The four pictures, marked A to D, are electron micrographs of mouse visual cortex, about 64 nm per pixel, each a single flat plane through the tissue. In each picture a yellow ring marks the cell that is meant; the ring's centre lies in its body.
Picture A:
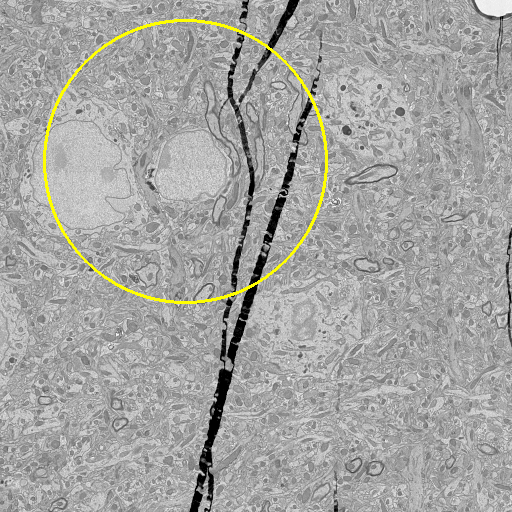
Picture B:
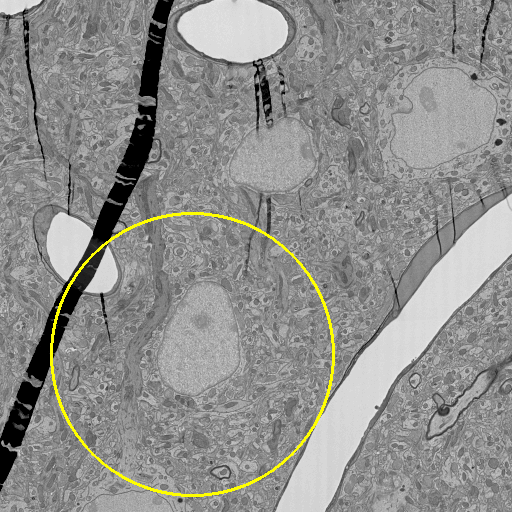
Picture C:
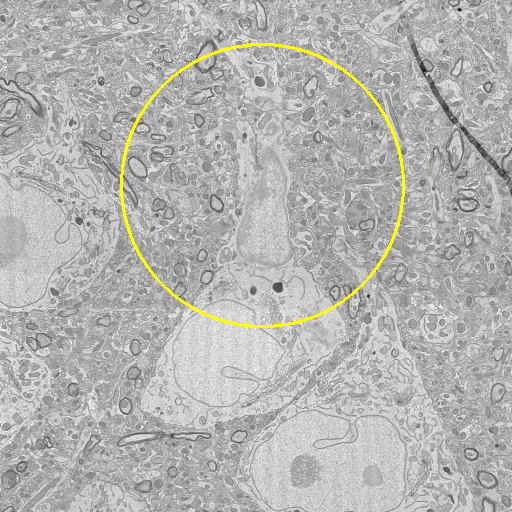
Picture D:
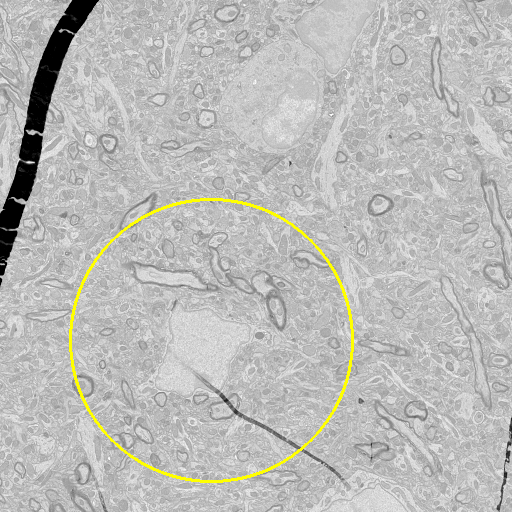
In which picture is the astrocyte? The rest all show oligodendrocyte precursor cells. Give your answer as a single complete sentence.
Picture B is the one that shows the astrocyte.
